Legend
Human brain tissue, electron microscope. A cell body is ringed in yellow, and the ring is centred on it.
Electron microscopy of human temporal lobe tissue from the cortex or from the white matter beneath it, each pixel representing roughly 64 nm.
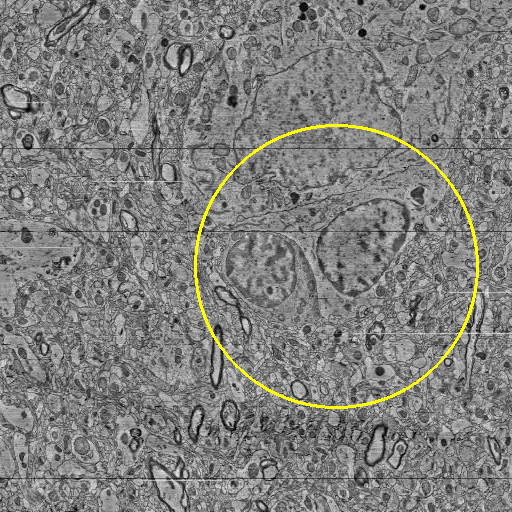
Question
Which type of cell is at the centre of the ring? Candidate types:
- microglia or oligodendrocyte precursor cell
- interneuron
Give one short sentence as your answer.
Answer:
The yellow ring is centred here on a microglial cell or oligodendrocyte precursor cell.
